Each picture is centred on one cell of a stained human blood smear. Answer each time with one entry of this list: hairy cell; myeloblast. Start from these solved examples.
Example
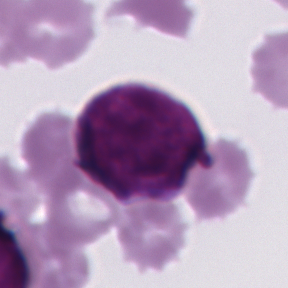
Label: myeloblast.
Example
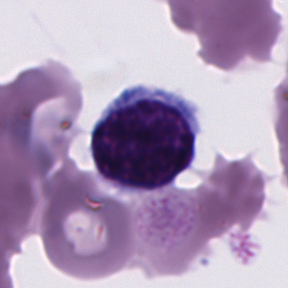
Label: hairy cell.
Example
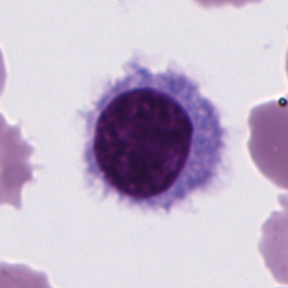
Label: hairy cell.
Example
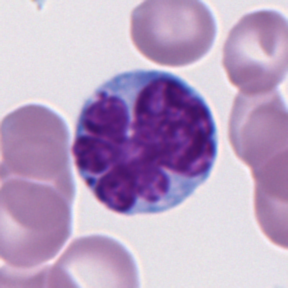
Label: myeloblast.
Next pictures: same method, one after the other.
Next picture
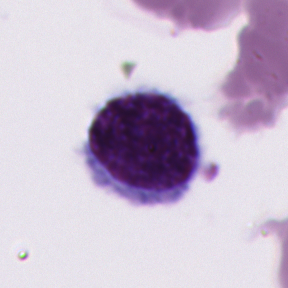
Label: hairy cell.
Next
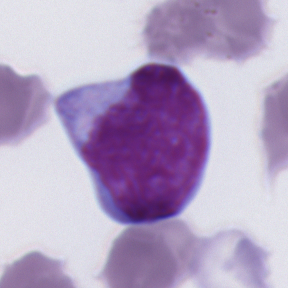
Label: myeloblast.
